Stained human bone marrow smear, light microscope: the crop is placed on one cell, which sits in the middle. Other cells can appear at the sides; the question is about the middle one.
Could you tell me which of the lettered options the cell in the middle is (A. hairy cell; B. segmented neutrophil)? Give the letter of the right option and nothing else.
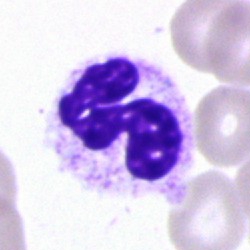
B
